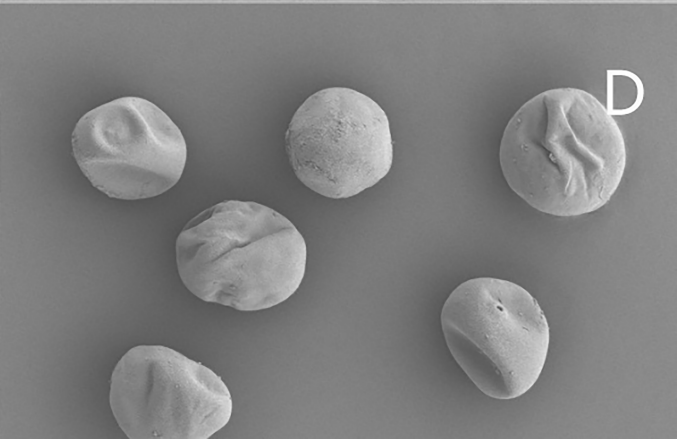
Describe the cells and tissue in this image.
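Pollen grains lie singly on a smooth substrate. Many grains are misshapen and partly collapsed, with deep folds, ridges and sunken depressions across the surface. Only some keep a rounded outline.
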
